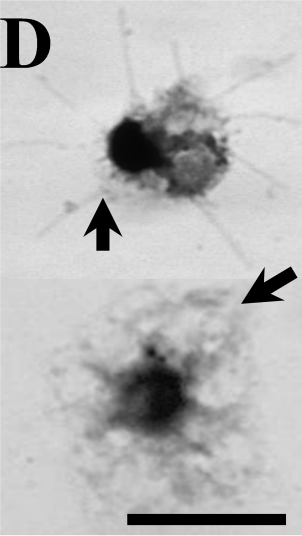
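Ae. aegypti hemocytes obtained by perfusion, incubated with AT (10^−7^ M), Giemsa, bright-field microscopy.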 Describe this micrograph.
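The upper cell has a compact dark rounded body beside a paler granular region, with several long, very thin straight filaments radiating far from the cell into the surroundings. The lower cell has a small dark central mass surrounded by a broad, pale, irregular sheet of flattened cytoplasm with lacy texture and faint fine projections at its margin. Both cells are markedly spread compared with rounded cells.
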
